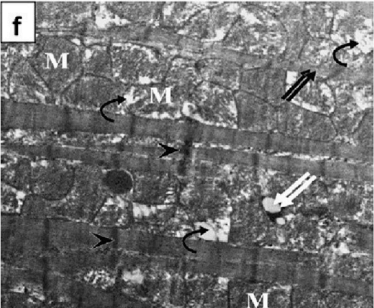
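Striated myofibrils of heart muscle run horizontally in long parallel bundles, with rows of mitochondria between them. Some transverse bands crossing the myofibrils look thick and dark, marked by arrowheads. Several mitochondria are swollen and pale with little visible internal folding, indicated by curved arrows, and pale irregular gaps appear between bundles. A narrow bundle is marked by a double black arrow, and a clear rounded empty space by a double white arrow. This is injured cardiomyocyte cytoplasm showing thickened Z lines, mitochondria with destructed cristae, thin myofibrils and a vacuole.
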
